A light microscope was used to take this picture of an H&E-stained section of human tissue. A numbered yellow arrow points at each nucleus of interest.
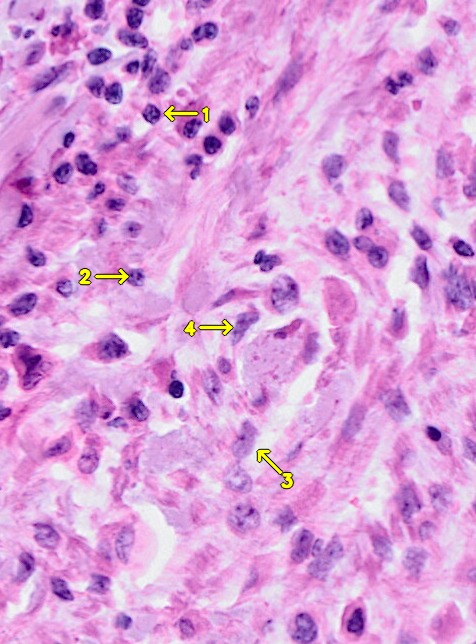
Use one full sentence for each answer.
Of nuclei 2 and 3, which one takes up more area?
Of the two, number 3 is bigger and takes up about 2.5 times the area of number 2.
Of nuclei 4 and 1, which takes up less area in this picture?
Nucleus 1 is the smaller one; nucleus 4 covers about 1.5 times its area.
